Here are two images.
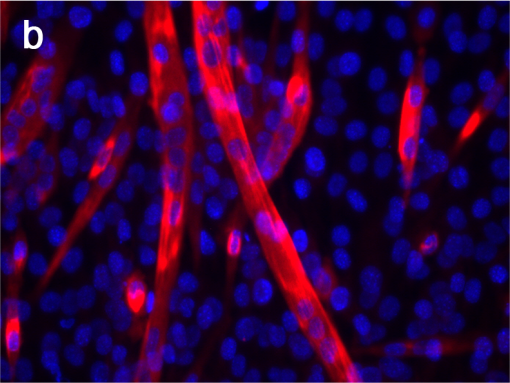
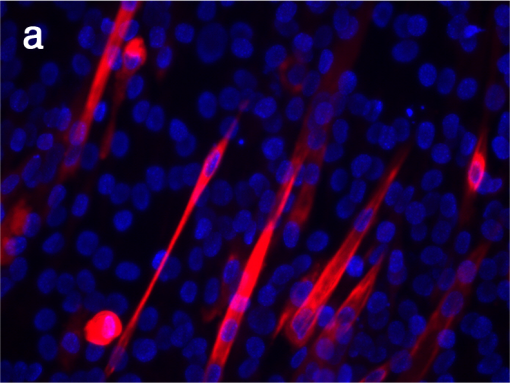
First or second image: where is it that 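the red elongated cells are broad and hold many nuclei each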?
The first image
